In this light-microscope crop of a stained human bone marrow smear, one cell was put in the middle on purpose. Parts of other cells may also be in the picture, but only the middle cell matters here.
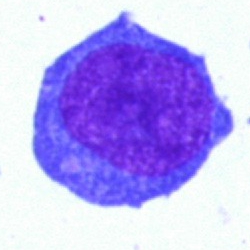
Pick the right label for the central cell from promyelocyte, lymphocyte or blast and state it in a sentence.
In the middle of this smear crop is a blast.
